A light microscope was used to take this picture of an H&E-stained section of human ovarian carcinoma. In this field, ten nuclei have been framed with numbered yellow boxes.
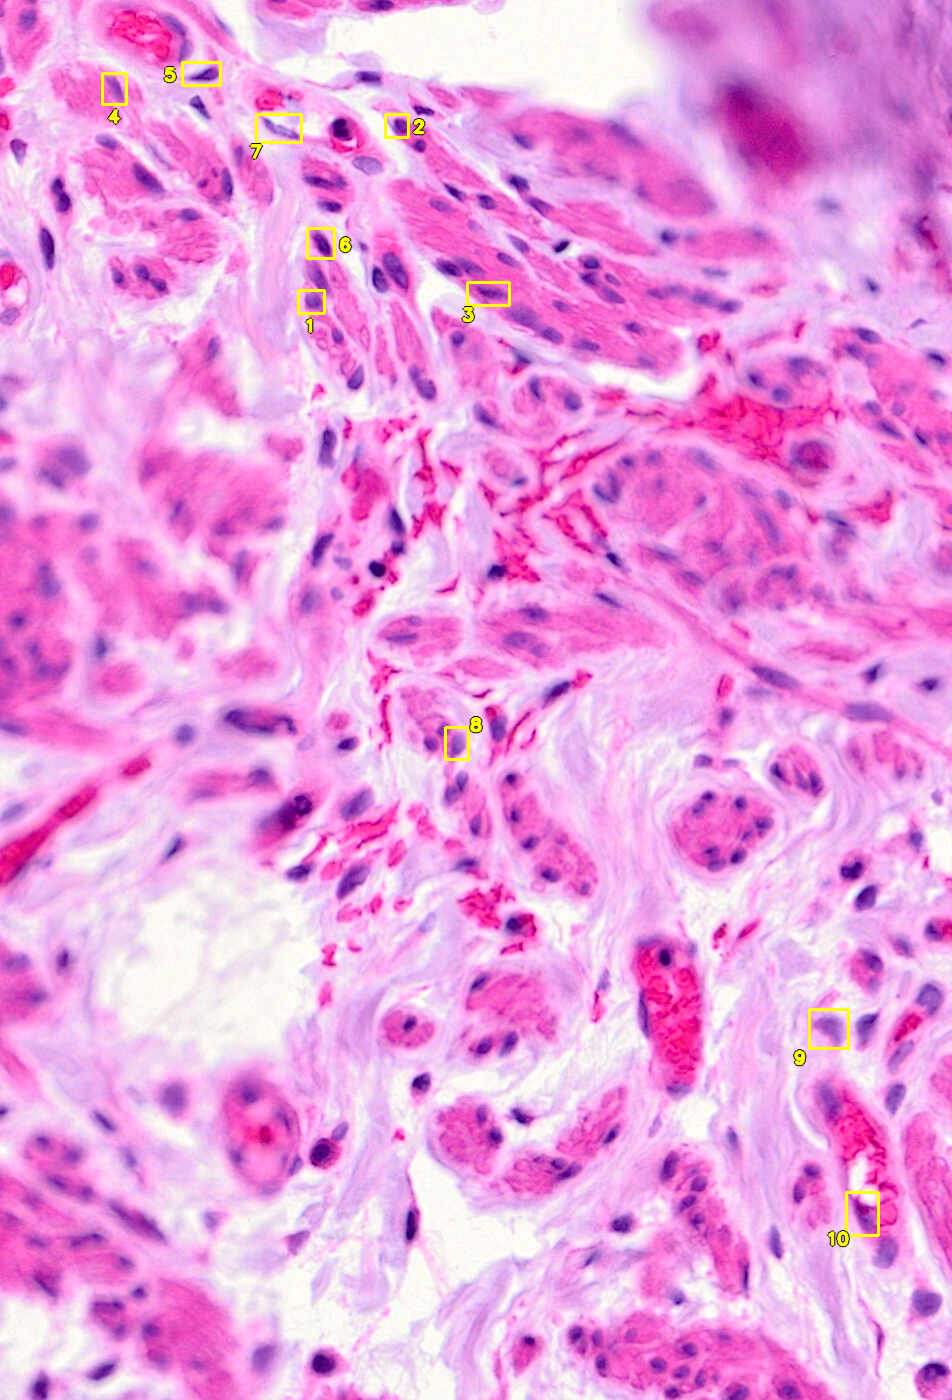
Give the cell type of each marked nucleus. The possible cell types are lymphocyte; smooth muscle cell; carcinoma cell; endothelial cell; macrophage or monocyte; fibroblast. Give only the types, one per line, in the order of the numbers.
smooth muscle cell
smooth muscle cell
smooth muscle cell
smooth muscle cell
fibroblast
smooth muscle cell
endothelial cell
smooth muscle cell
fibroblast
endothelial cell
